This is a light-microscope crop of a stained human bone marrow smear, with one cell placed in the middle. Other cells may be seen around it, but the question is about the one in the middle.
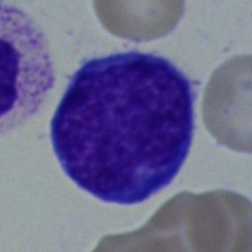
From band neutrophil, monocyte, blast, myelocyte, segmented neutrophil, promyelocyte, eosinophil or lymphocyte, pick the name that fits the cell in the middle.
blast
